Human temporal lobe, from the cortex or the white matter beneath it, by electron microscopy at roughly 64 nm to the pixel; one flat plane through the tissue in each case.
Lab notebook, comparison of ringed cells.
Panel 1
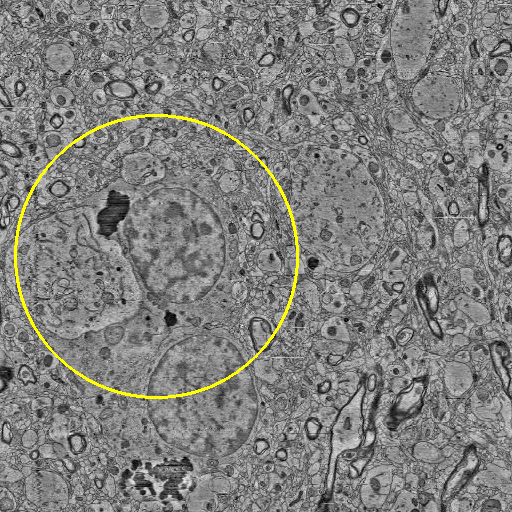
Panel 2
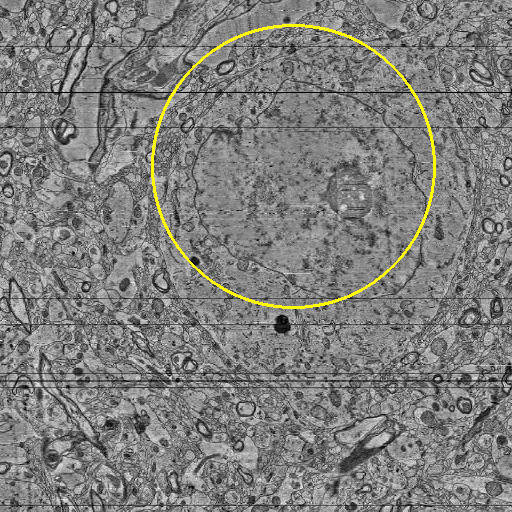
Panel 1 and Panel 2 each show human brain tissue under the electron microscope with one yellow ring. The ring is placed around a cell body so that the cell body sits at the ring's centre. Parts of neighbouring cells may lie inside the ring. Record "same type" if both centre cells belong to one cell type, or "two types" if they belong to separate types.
two types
